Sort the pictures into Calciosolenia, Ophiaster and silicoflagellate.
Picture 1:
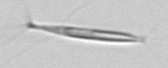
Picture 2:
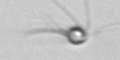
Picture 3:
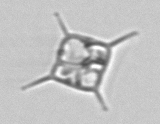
Calciosolenia: 1
Ophiaster: 2
Silicoflagellates: 3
